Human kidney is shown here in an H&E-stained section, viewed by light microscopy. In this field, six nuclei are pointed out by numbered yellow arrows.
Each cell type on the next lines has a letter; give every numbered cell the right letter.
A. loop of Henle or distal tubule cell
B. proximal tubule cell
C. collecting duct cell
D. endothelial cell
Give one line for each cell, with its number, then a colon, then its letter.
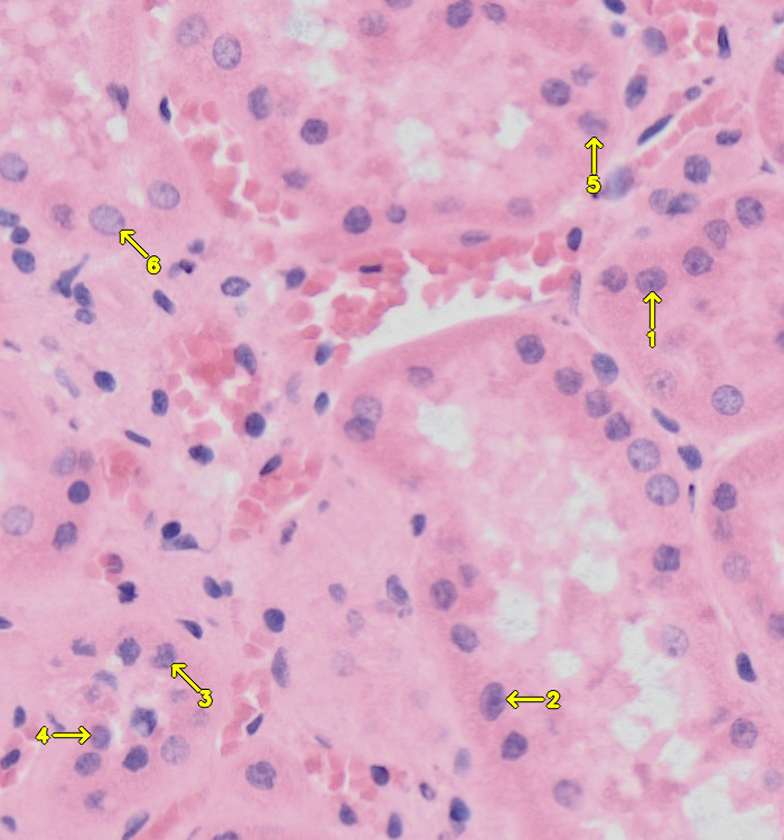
1: B
2: B
3: A
4: A
5: B
6: B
